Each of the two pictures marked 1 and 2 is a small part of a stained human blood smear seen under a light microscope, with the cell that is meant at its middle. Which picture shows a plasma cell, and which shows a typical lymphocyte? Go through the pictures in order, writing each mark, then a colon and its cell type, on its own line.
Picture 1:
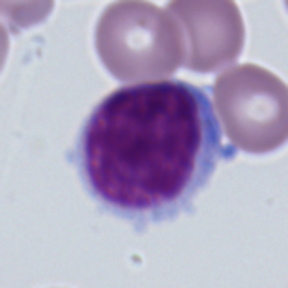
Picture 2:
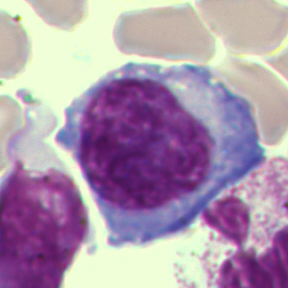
1: typical lymphocyte
2: plasma cell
